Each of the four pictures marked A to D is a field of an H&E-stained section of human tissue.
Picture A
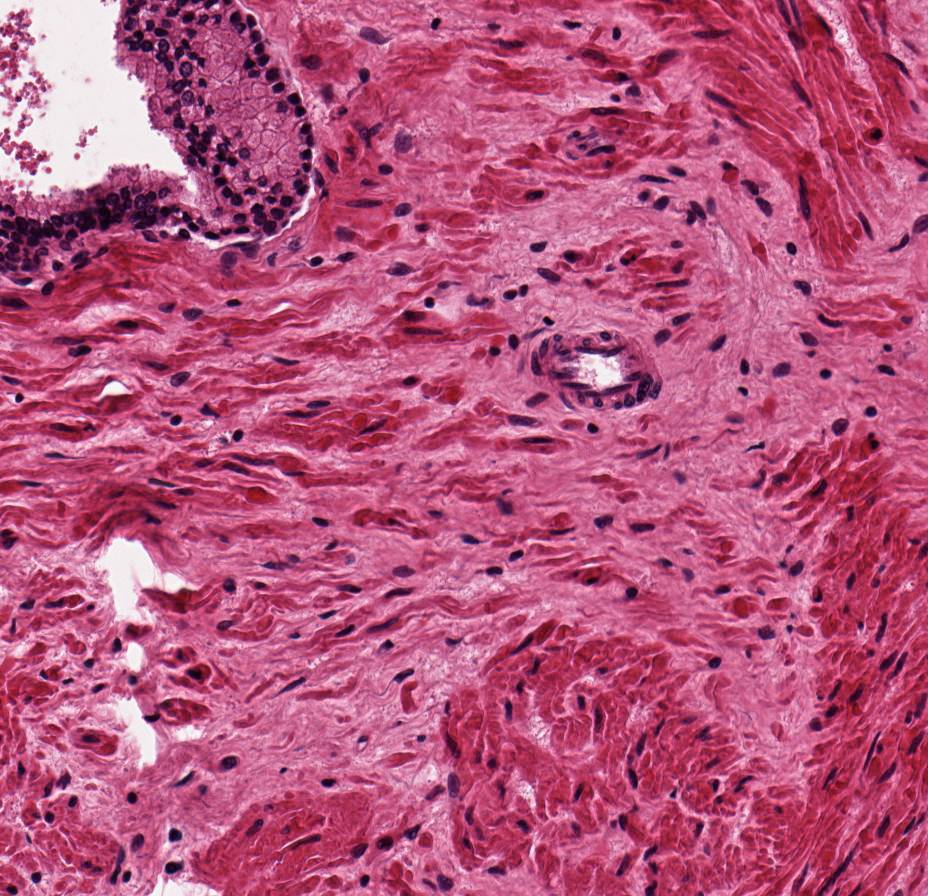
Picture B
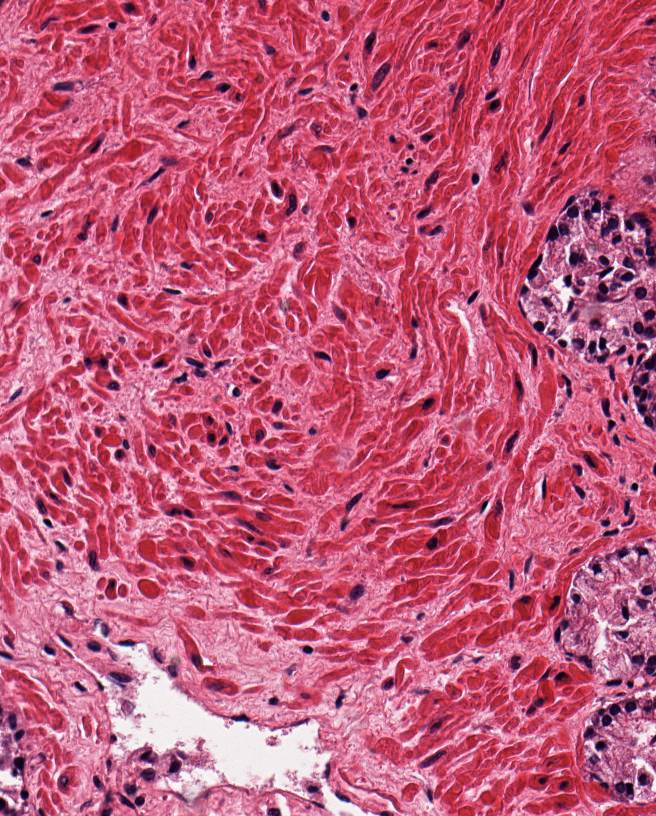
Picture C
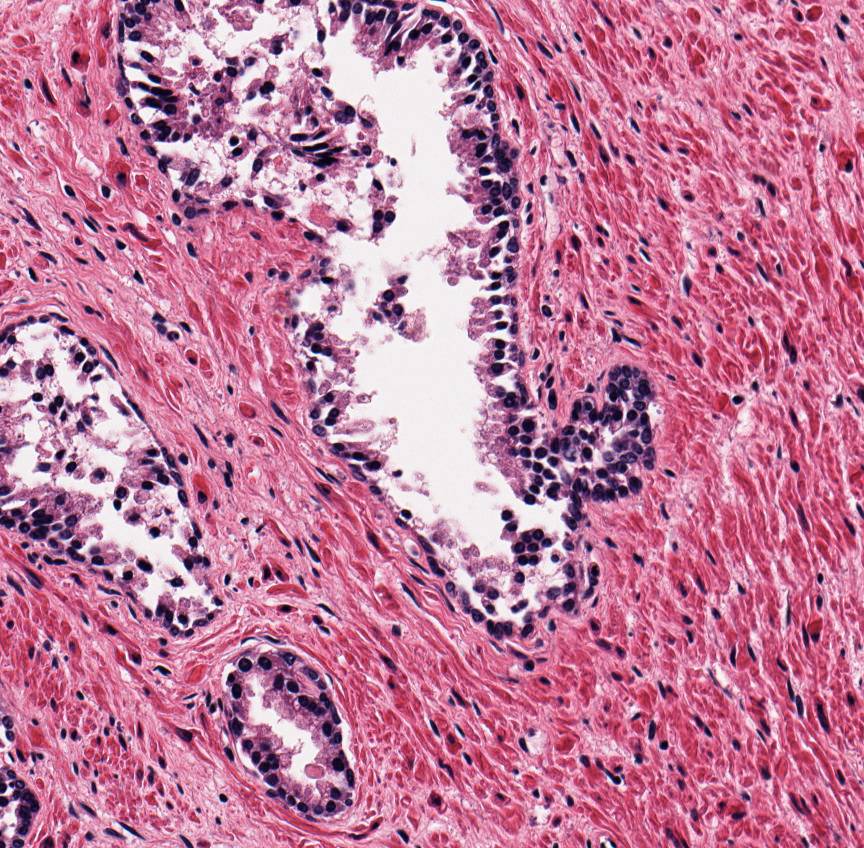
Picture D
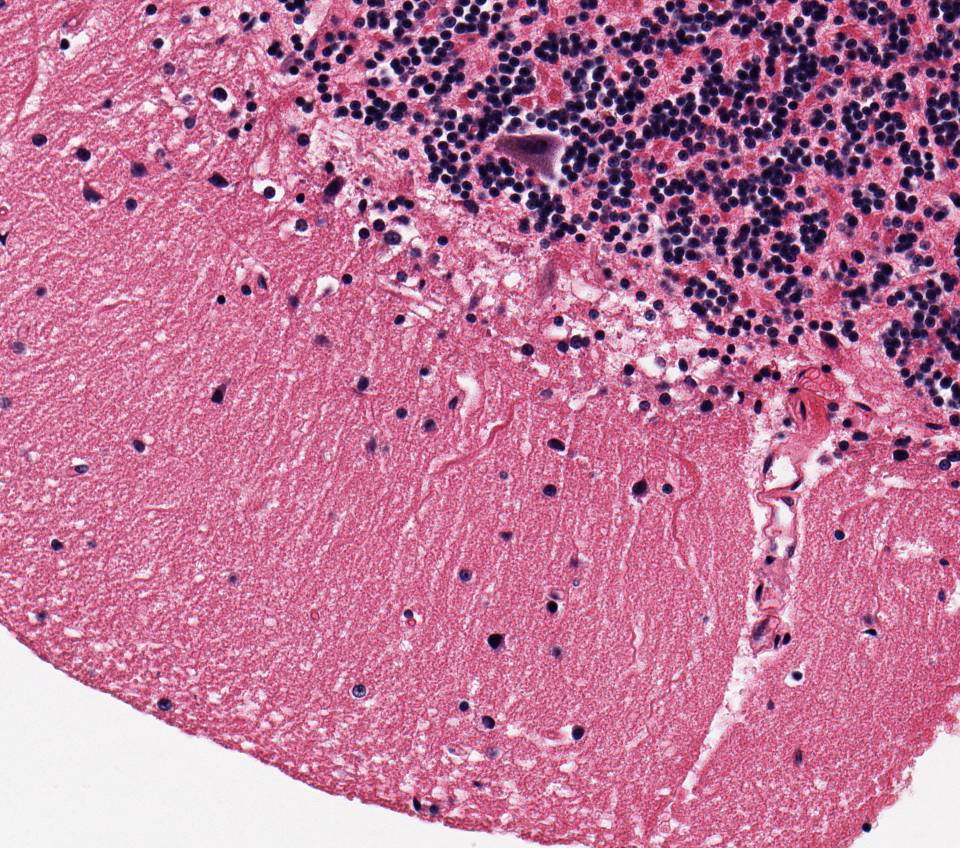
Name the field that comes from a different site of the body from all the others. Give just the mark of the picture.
D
